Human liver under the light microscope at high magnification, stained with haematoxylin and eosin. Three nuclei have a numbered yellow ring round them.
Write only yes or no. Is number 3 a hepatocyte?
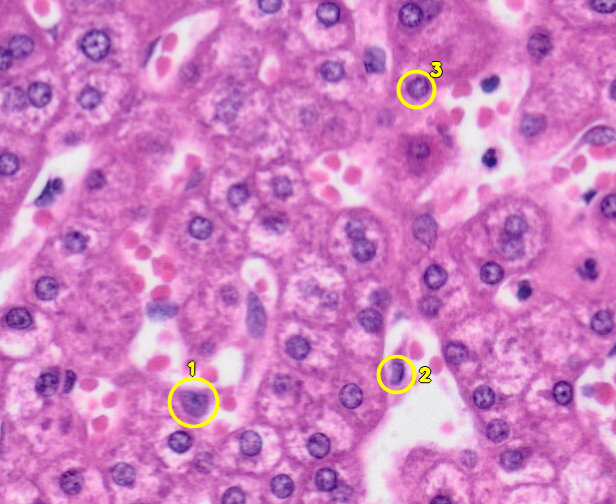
yes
